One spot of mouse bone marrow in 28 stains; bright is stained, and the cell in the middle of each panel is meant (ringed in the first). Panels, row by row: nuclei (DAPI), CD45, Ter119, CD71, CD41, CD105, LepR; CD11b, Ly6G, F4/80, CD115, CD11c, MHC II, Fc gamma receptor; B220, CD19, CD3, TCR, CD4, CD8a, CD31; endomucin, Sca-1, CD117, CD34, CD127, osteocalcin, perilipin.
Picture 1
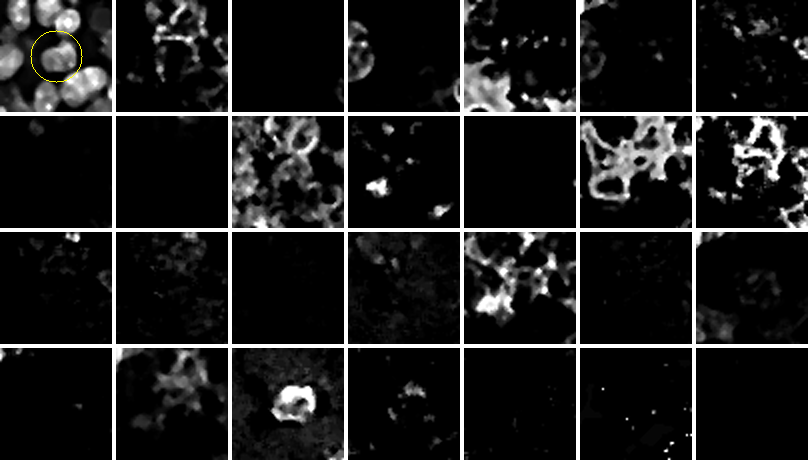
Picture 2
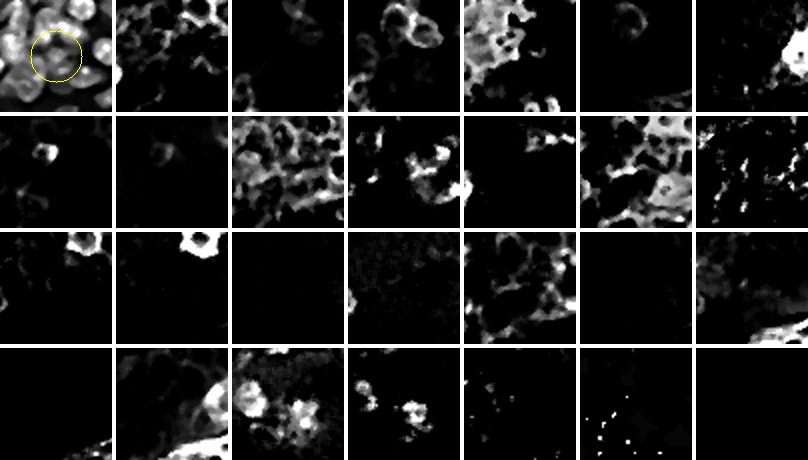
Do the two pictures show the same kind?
Yes, both are granulocyte-monocyte progenitors.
